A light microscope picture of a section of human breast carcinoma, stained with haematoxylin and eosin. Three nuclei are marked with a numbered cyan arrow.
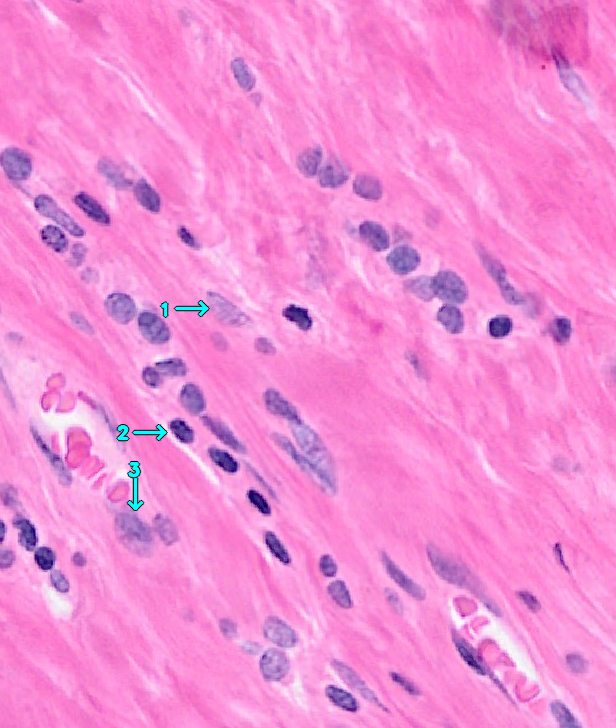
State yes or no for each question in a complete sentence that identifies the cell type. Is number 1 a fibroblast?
Yes, the cell that is numbered 1 is a fibroblast.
